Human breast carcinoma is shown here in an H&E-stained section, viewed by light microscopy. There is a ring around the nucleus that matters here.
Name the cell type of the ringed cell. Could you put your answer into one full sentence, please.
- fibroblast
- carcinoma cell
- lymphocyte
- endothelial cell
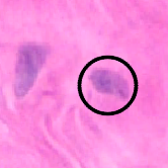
Among the cells in this section, the ringed cell is a fibroblast.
